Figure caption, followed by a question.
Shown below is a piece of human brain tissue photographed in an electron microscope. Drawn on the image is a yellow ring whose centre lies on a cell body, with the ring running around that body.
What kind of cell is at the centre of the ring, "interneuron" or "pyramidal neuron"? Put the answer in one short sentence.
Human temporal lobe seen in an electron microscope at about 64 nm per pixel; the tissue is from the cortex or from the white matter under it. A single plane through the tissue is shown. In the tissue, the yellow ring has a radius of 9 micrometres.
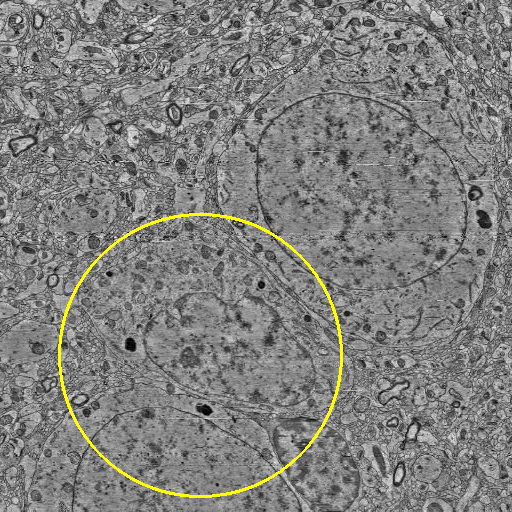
The ring marks the cell body of an interneuron.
